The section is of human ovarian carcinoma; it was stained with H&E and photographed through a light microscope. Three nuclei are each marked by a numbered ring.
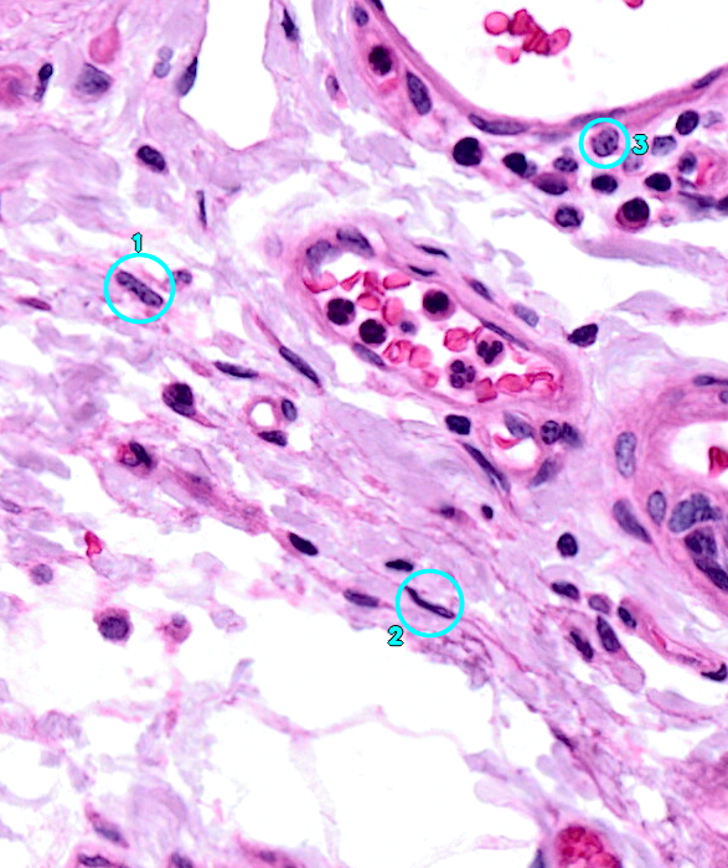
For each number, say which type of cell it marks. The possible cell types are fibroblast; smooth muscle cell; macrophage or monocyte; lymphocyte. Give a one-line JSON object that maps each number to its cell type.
{"1": "macrophage or monocyte", "2": "fibroblast", "3": "lymphocyte"}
